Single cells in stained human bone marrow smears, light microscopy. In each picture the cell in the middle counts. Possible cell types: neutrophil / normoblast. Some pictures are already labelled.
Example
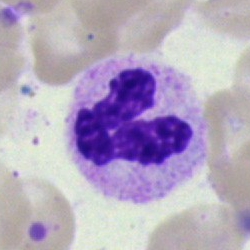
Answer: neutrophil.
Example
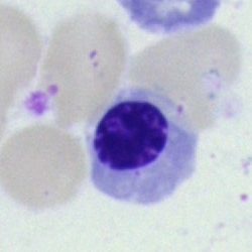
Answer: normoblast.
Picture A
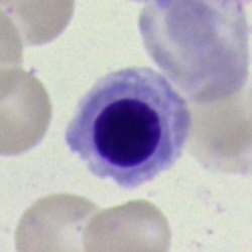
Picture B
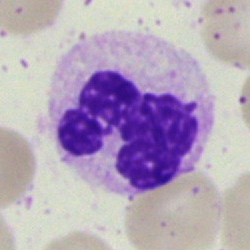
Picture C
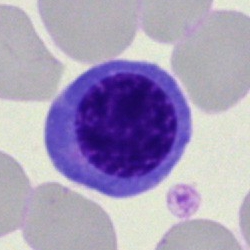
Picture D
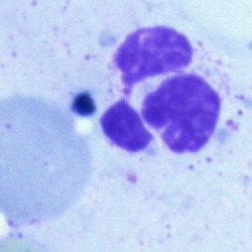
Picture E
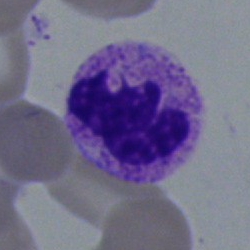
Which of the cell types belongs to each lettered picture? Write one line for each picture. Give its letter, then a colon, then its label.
A: normoblast.
B: neutrophil.
C: normoblast.
D: neutrophil.
E: neutrophil.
